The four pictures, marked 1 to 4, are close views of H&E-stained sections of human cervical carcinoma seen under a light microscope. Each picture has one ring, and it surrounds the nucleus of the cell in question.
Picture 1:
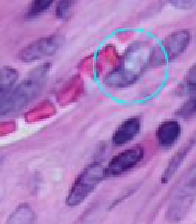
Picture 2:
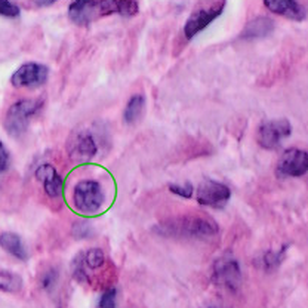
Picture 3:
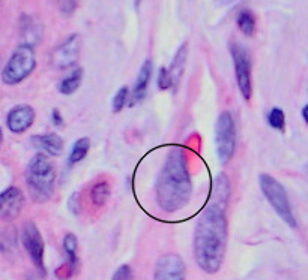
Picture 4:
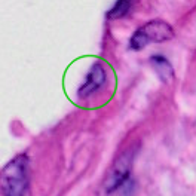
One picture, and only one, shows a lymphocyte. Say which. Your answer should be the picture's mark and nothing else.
2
